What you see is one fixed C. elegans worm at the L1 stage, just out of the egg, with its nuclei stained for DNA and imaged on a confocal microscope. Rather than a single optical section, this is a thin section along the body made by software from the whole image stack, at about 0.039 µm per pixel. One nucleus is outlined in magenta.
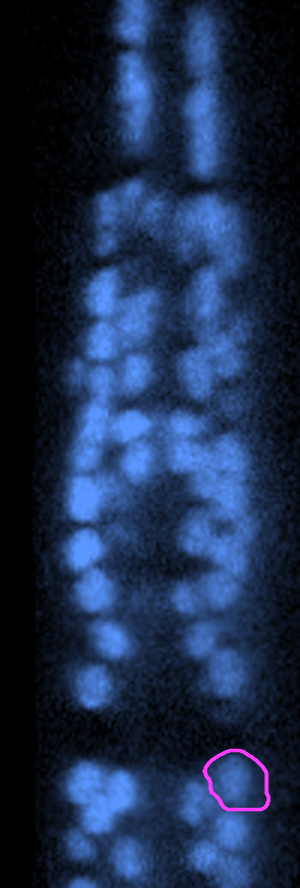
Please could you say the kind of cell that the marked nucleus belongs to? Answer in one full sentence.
It belongs to a neuron.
